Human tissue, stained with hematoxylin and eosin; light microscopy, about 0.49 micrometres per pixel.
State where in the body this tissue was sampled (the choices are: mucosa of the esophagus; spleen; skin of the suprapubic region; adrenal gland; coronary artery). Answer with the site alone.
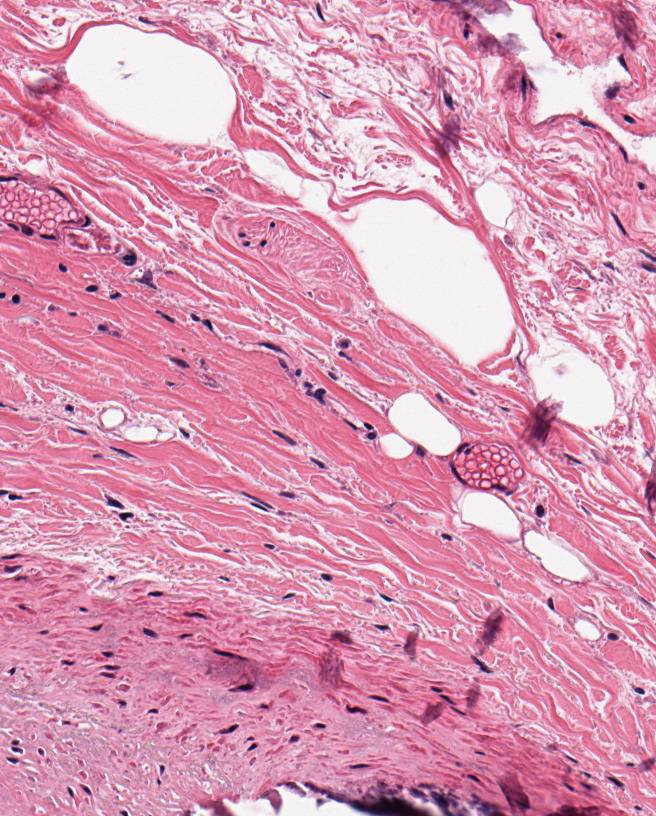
coronary artery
